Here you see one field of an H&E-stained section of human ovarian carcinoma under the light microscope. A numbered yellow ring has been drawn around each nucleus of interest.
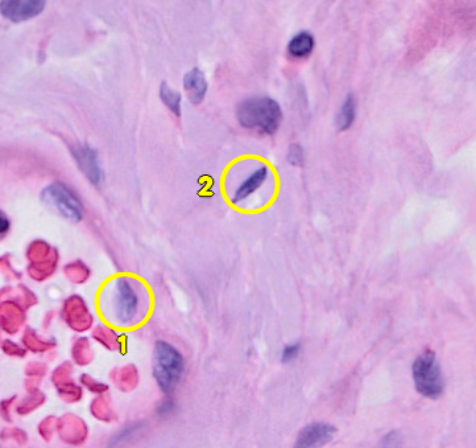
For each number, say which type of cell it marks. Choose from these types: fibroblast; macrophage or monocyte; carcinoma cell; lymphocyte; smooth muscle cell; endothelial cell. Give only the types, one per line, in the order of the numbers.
endothelial cell
fibroblast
